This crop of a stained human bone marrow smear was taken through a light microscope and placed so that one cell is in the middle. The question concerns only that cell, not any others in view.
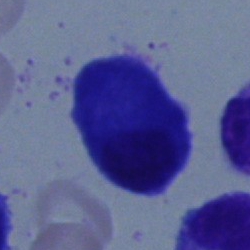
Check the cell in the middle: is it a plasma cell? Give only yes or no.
yes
